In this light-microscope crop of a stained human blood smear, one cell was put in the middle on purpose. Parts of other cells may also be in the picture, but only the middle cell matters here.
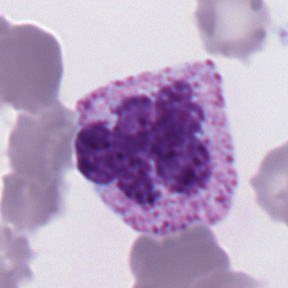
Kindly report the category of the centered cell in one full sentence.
Framed in the middle of the crop is a basophil.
